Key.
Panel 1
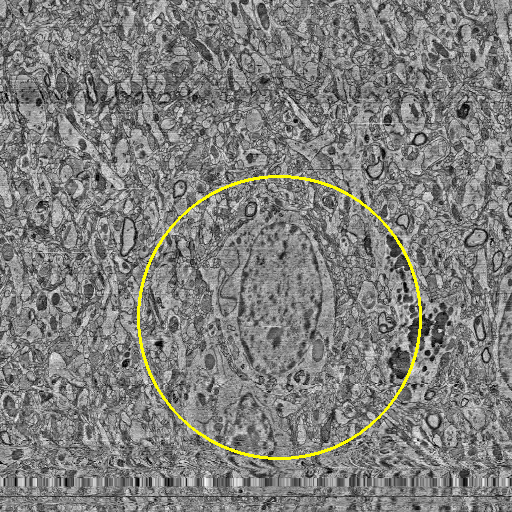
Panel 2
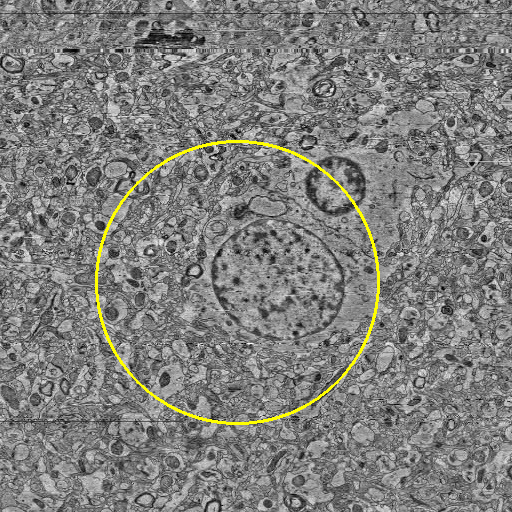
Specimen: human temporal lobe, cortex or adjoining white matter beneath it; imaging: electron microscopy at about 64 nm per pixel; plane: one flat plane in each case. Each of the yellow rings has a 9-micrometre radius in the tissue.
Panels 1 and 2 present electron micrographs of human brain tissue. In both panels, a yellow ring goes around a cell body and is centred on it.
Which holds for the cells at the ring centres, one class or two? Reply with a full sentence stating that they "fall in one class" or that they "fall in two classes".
Taken together, the ring-centre cells of the two panels fall in one class.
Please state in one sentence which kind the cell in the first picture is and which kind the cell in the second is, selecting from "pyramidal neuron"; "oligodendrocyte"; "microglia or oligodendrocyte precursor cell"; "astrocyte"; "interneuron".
Each of the two rings is centred on an astrocyte.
